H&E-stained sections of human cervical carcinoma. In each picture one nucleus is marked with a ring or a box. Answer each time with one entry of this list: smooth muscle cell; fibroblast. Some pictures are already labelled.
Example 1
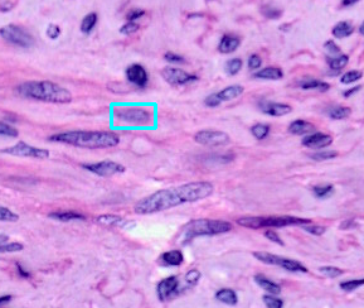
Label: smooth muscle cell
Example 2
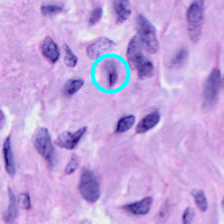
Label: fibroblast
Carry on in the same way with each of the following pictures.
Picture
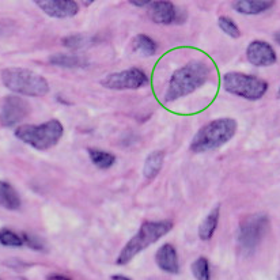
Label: fibroblast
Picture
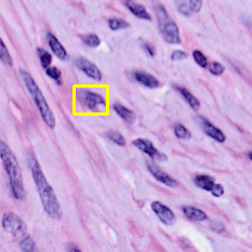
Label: smooth muscle cell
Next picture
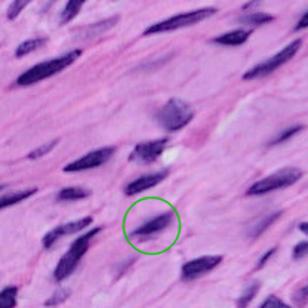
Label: fibroblast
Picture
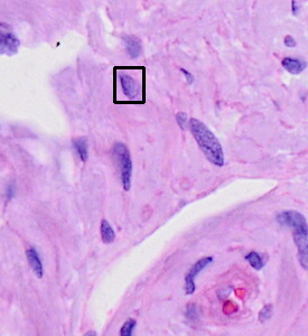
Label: fibroblast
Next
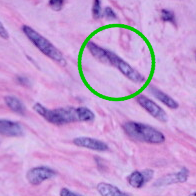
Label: smooth muscle cell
